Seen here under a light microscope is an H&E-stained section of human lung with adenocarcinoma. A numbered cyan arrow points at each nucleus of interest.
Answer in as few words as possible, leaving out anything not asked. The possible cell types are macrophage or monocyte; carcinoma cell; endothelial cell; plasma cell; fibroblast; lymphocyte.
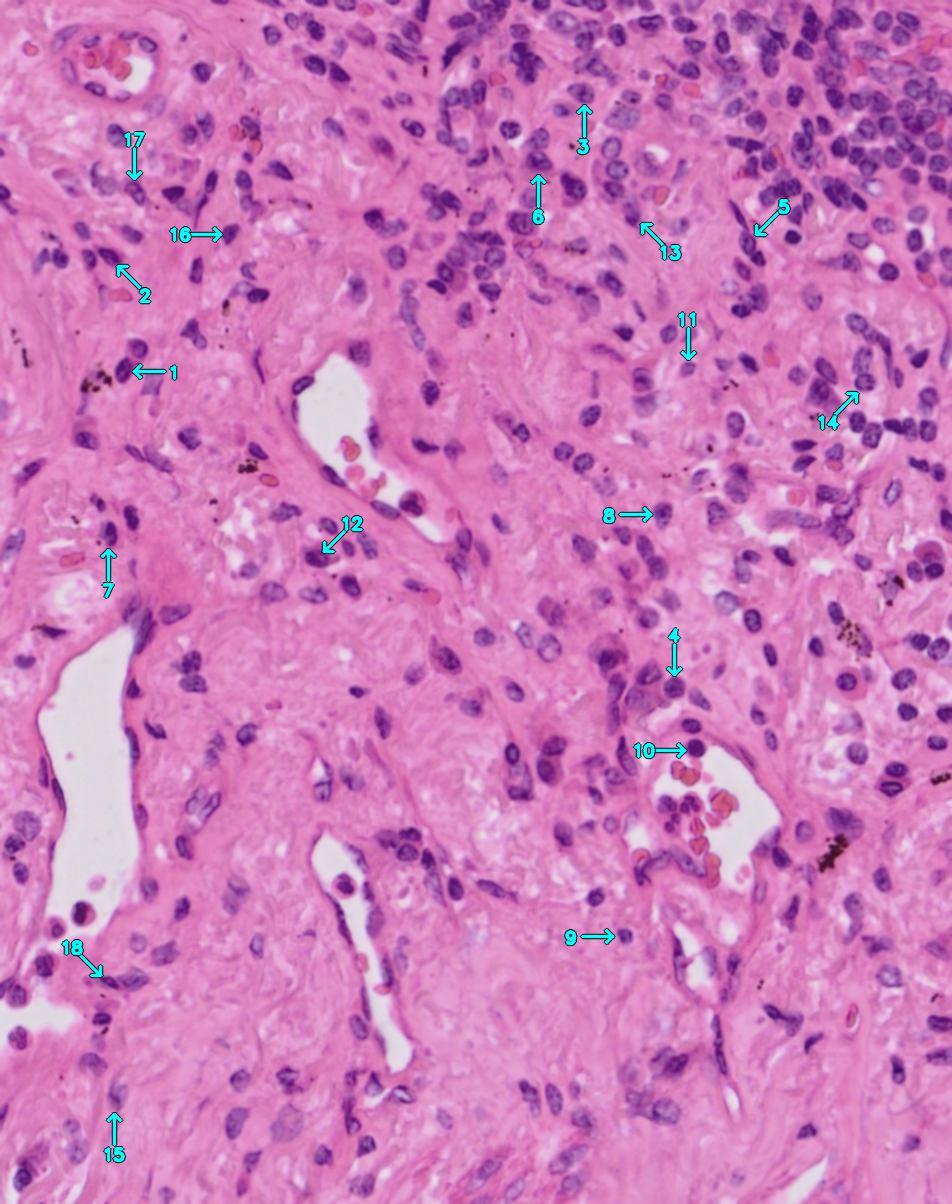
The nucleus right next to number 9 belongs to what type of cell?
fibroblast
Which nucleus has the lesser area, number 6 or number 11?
11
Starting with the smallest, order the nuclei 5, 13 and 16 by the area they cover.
16, 5, 13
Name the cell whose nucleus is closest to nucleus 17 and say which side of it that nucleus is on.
a plasma cell, to the left of nucleus 17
